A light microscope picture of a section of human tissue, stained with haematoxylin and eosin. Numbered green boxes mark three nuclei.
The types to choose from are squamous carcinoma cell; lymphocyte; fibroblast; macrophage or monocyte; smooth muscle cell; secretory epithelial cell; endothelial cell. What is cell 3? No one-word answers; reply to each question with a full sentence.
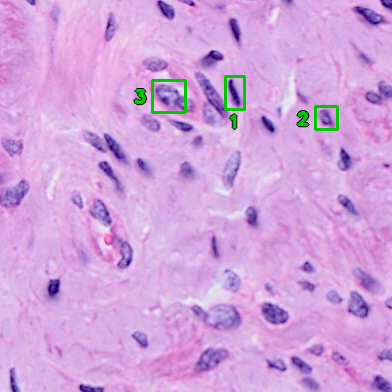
The cell indicated by marker 3 is an endothelial cell in this section.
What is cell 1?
In this section, number 1 marks a fibroblast.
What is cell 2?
Nucleus 2 in this section belongs to a smooth muscle cell.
